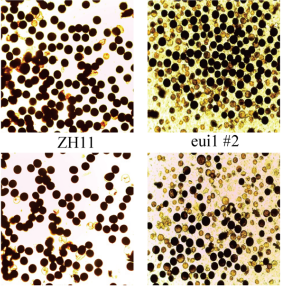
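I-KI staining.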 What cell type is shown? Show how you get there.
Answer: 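Many small, round, separate grains are scattered across each field.
Conclusion: Pollen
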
